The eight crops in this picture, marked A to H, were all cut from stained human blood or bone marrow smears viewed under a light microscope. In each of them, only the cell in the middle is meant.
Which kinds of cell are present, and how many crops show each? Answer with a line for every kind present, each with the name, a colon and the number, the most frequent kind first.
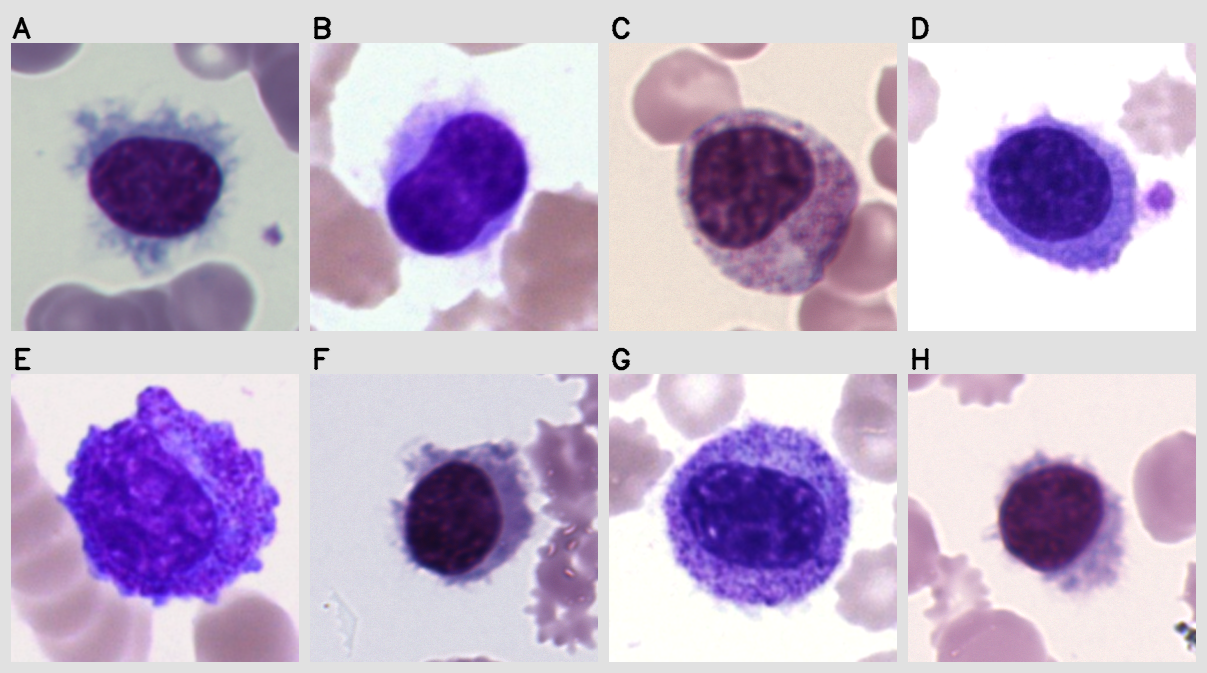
hairy cell: 5
myelocyte: 2
promyelocyte: 1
